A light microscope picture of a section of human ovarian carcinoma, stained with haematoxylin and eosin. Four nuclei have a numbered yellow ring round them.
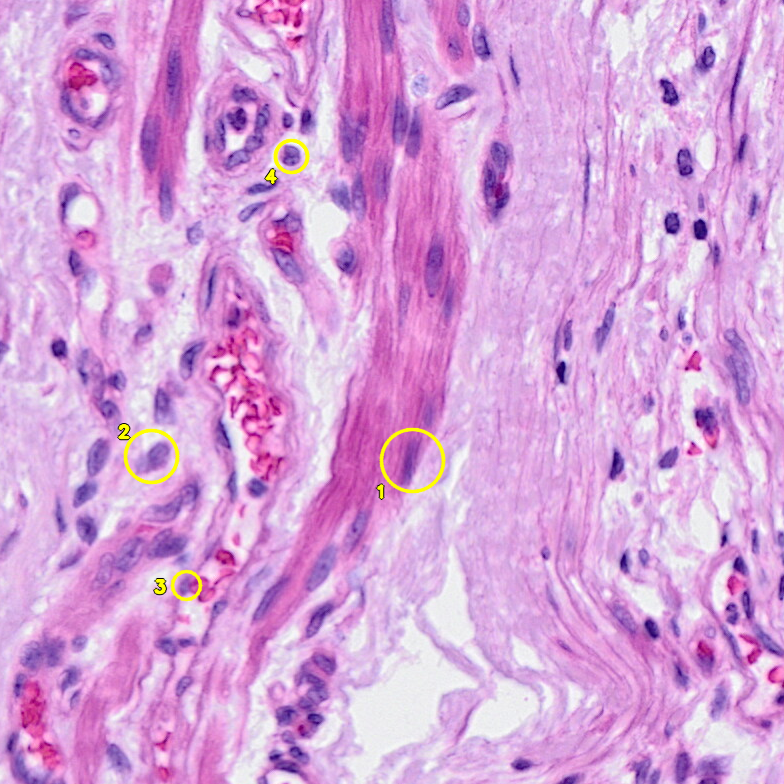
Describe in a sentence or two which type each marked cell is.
Cell 1 is a smooth muscle cell, cell 2 is a fibroblast, cell 3 is an endothelial cell and cell 4 is a lymphocyte.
